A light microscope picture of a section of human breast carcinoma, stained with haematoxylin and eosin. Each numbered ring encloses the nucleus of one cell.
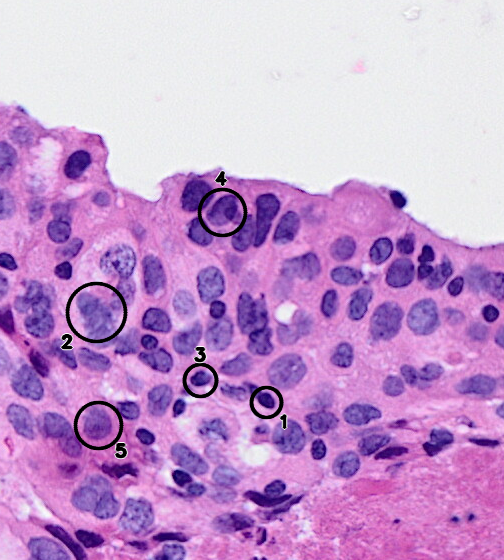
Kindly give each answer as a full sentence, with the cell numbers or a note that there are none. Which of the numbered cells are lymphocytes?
The identity of cells 1 and 3: they are lymphocytes.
